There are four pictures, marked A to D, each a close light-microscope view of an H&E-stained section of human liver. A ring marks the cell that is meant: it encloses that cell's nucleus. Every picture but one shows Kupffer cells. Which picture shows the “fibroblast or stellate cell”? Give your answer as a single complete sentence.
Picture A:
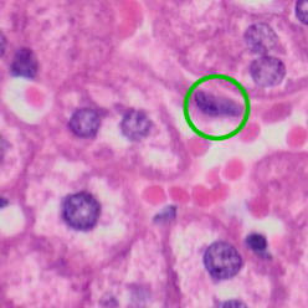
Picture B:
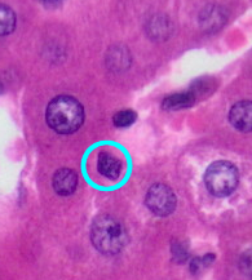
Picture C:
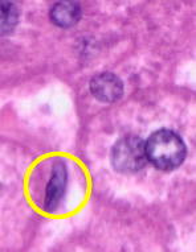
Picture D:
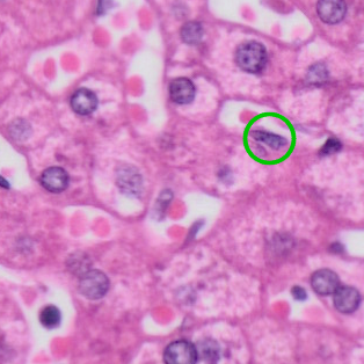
Picture B is the one that shows the “fibroblast or stellate cell”.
